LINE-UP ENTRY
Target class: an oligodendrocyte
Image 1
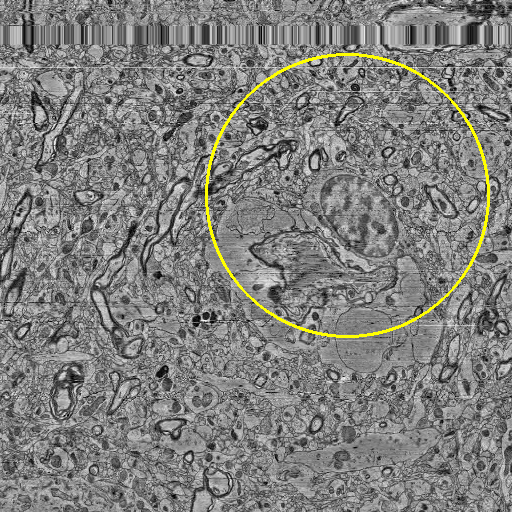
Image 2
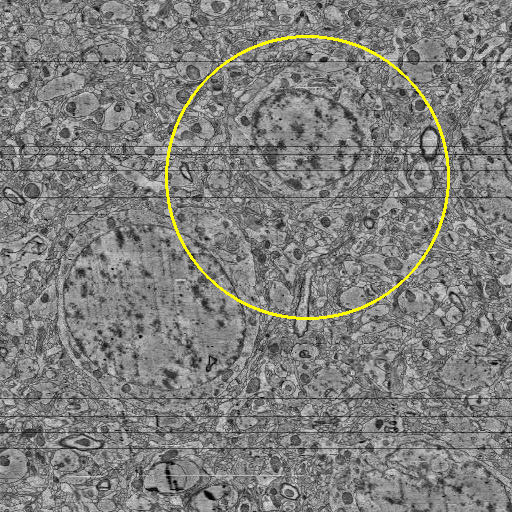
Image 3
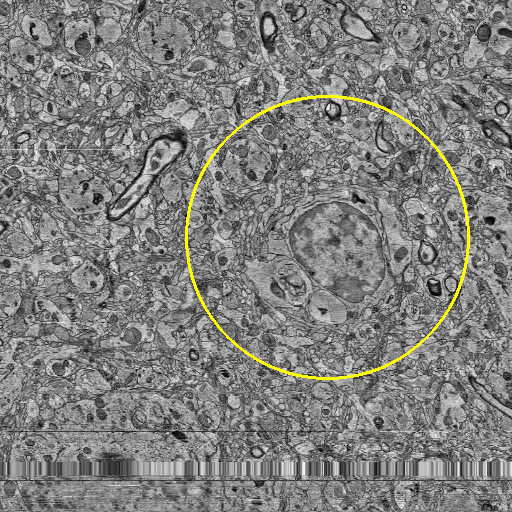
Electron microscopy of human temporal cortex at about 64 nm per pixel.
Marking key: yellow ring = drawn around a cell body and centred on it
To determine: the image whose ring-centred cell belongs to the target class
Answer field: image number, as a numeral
1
